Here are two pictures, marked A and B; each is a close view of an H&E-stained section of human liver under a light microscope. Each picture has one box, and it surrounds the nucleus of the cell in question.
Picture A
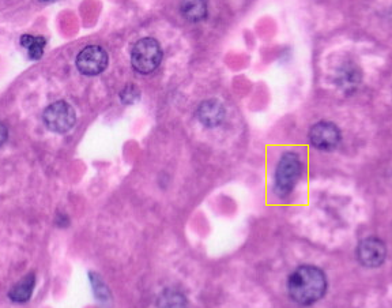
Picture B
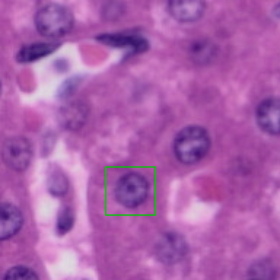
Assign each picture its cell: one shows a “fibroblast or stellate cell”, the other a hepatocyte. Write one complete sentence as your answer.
Picture A is of a “fibroblast or stellate cell”, and picture B is of a hepatocyte.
